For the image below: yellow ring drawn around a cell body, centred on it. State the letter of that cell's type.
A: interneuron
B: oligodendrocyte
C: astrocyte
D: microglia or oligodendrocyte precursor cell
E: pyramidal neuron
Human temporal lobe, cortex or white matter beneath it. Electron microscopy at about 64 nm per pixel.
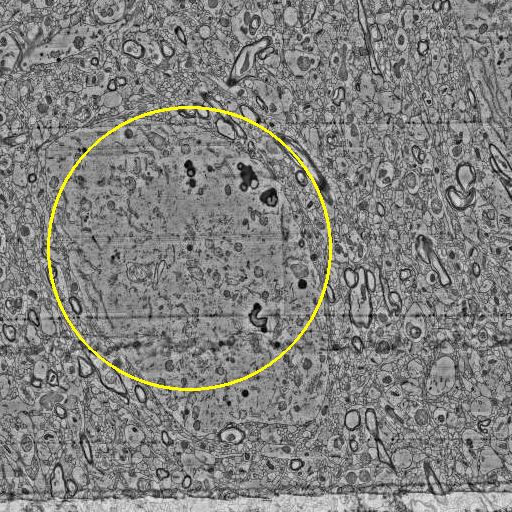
E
